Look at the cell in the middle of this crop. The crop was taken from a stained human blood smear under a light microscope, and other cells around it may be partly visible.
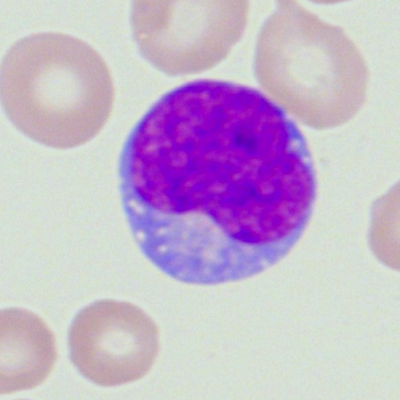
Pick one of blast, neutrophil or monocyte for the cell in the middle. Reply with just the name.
blast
